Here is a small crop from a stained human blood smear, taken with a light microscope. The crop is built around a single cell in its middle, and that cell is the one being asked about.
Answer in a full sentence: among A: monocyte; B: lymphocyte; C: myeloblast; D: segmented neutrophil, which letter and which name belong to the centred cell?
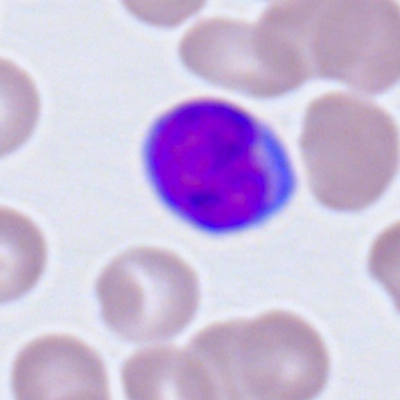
The correct choice is option B, which identifies the middle cell as a lymphocyte.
